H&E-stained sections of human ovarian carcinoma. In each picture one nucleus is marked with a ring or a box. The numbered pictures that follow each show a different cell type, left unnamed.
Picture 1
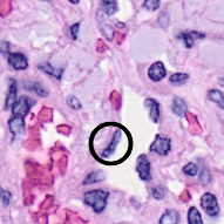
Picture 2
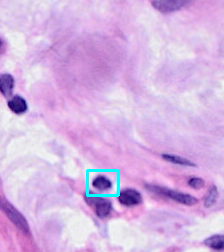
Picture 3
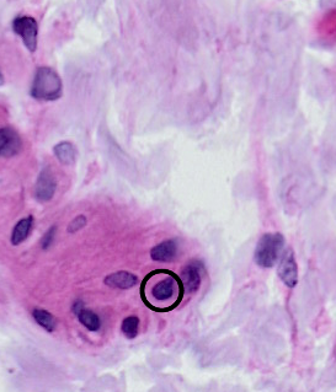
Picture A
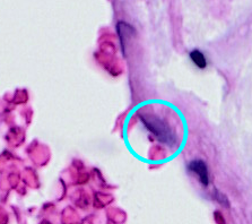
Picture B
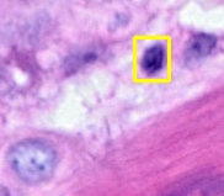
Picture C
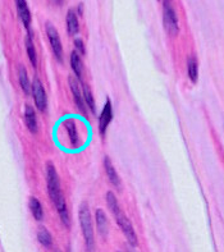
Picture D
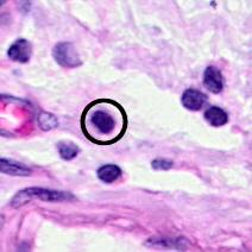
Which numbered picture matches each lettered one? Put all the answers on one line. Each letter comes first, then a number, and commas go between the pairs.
A 1, B 2, C 3, D 2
